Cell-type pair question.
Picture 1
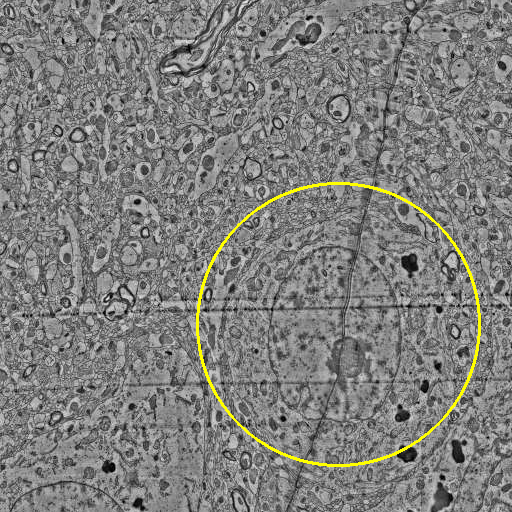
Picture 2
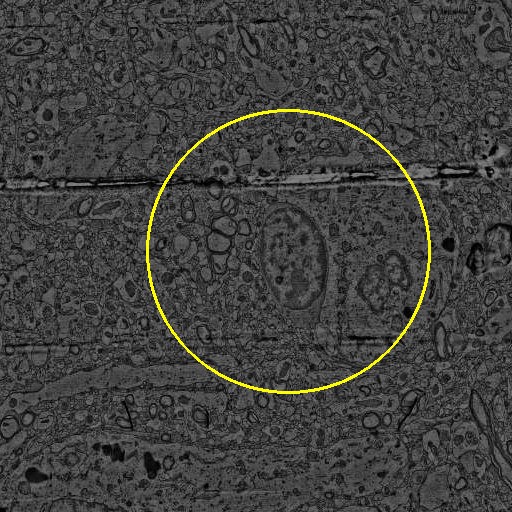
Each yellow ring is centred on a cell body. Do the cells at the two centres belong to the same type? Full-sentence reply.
No, the two cells belong to two types.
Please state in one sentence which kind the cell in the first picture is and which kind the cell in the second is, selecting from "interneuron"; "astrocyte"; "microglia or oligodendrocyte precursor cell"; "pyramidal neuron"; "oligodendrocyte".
The first ringed cell is an interneuron, the second ringed cell an oligodendrocyte.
